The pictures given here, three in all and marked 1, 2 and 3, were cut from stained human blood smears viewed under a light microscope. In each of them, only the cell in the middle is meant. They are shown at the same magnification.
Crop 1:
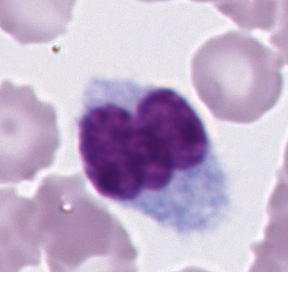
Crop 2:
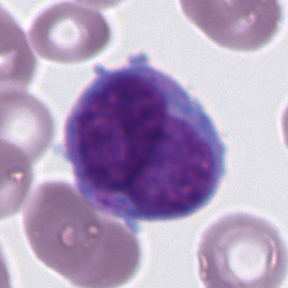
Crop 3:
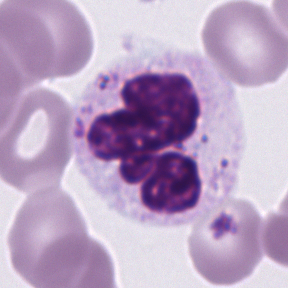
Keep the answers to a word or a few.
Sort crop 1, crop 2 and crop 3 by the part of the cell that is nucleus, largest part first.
2, 1, 3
